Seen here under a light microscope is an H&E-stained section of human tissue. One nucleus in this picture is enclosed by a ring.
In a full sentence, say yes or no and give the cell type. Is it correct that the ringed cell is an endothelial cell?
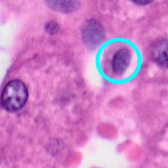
No, the ringed cell is termed a Kupffer cell, not an endothelial cell.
